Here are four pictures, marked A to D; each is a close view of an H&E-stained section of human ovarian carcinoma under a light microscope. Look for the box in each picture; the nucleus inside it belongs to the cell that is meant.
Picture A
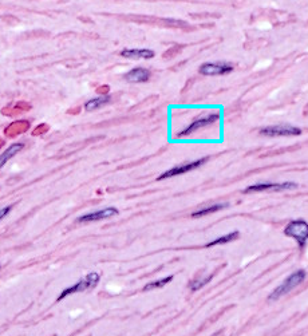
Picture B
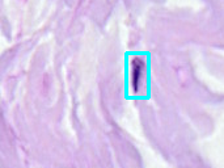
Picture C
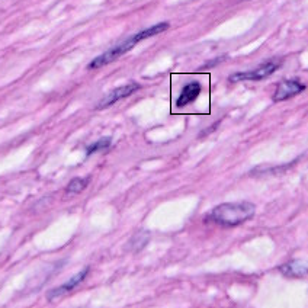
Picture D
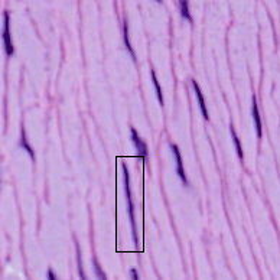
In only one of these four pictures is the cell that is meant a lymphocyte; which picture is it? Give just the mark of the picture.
C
